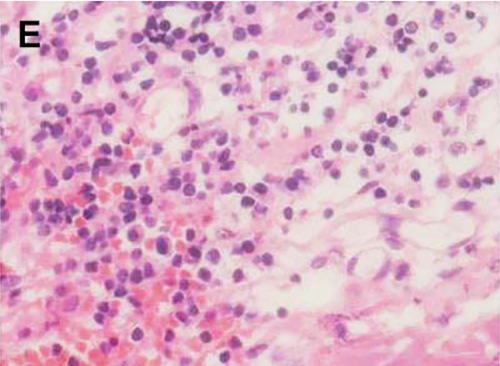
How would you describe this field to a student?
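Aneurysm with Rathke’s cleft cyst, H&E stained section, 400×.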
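This field shows groups of inflammatory cells in loose connective tissue. Most cells are small and round, with dense, dark purple nuclei and scant cytoplasm, and they gather in crowded clusters. Red blood cells, seen as pink anucleate discs, are mixed among them, mostly at the lower left. Between the clusters the stroma is pale, loose and partly empty-looking, with a few thin pink strands.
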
